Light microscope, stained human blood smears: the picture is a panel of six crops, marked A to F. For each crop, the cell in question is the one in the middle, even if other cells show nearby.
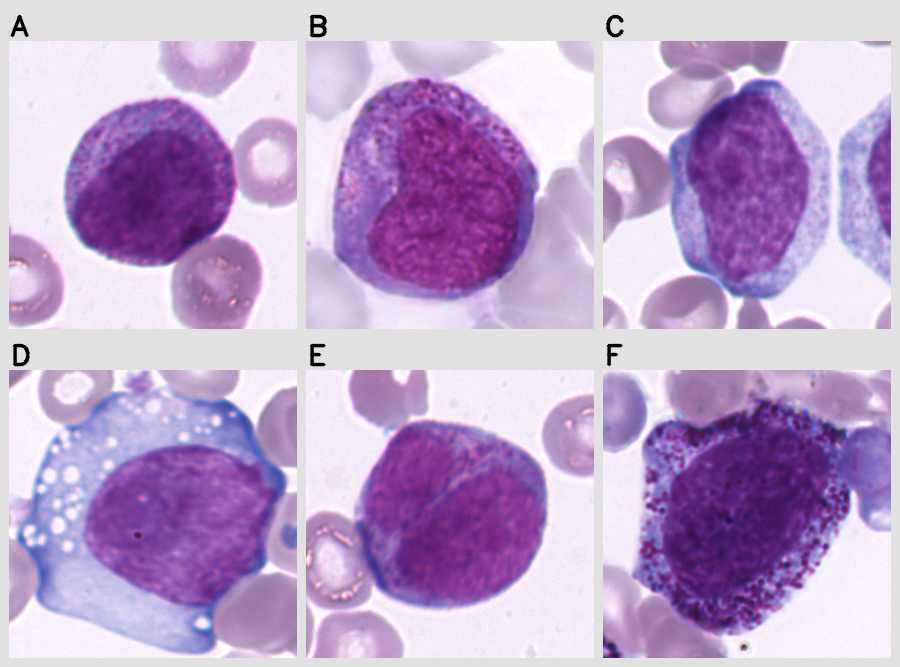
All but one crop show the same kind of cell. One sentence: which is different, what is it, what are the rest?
A different cell type, a blast, occupies crop D; the other crops show promyelocytes.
